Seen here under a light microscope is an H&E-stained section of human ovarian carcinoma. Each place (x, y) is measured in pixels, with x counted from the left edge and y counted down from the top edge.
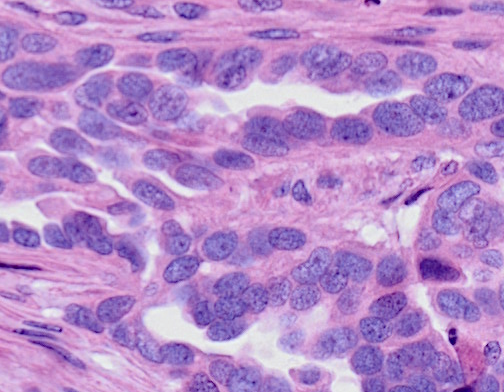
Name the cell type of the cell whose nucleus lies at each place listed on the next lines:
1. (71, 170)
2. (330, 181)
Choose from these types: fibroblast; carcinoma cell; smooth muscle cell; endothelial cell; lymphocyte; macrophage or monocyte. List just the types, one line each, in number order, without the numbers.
carcinoma cell
fibroblast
